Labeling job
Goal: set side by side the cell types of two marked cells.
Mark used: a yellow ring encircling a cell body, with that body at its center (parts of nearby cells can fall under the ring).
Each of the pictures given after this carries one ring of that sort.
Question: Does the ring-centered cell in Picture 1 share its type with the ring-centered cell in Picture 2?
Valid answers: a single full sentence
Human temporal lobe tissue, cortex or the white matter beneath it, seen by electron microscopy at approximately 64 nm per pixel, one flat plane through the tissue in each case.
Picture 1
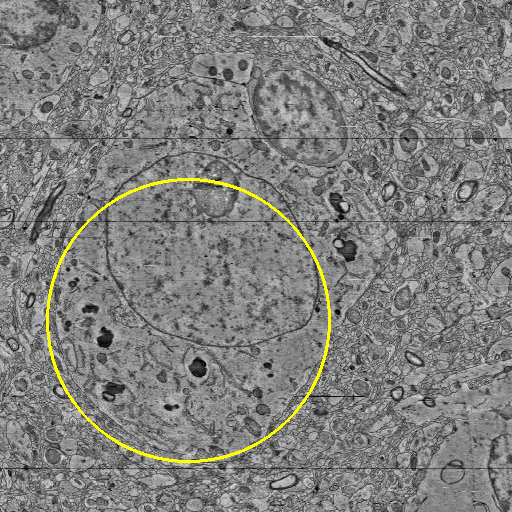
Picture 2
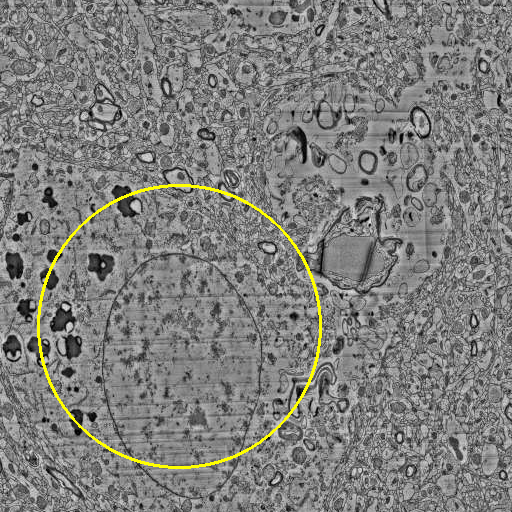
Yes, in Pictures 1 and 2 the cells at the ring centers share one type.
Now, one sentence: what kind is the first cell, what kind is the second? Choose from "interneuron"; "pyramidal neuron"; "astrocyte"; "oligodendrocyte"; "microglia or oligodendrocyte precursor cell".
Each of the two rings surrounds a pyramidal neuron.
